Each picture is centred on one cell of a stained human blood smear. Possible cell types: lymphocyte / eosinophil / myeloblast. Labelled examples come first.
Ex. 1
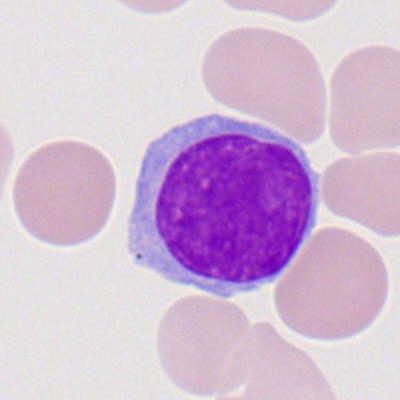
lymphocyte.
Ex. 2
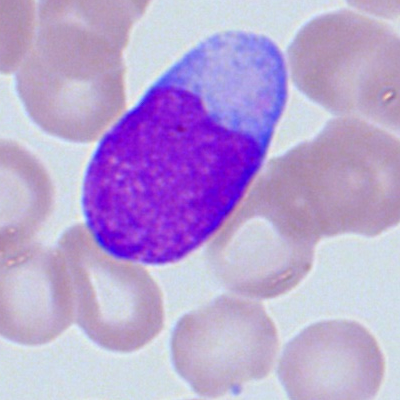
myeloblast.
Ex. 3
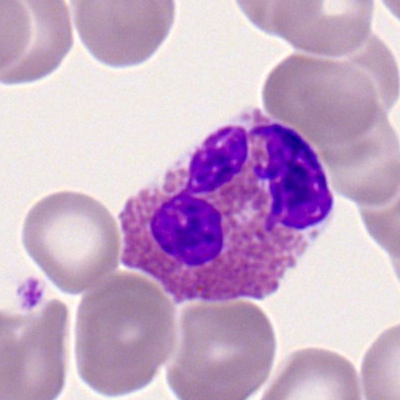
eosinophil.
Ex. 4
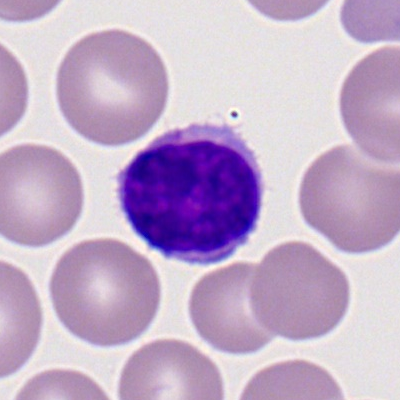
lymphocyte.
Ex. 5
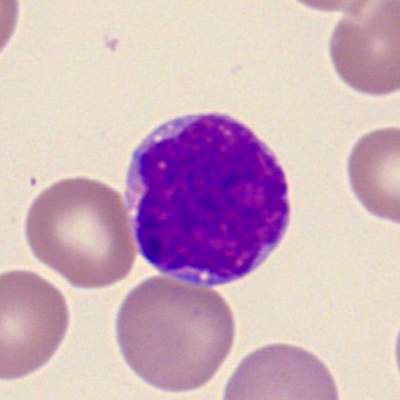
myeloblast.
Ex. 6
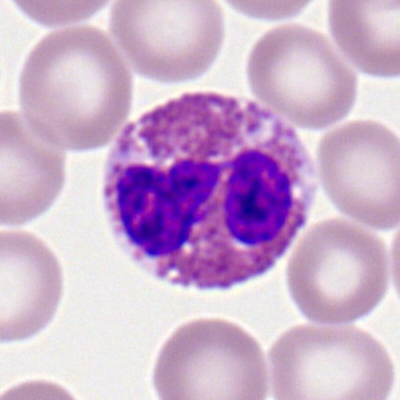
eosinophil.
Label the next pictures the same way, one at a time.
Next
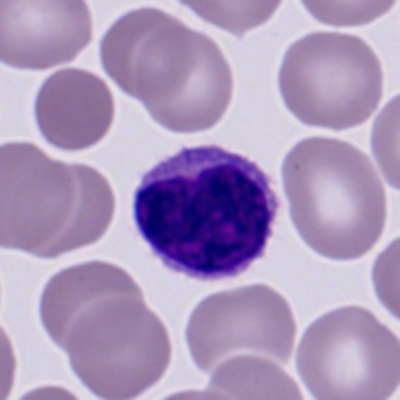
lymphocyte.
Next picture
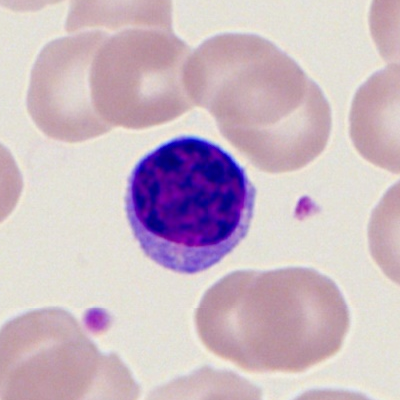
lymphocyte.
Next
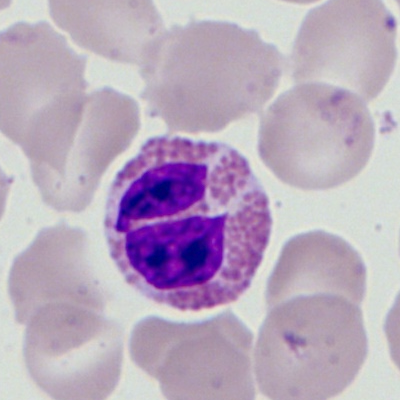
eosinophil.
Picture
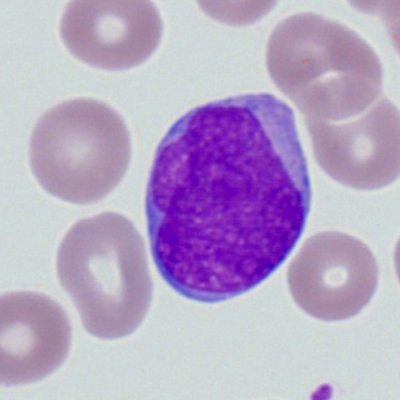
myeloblast.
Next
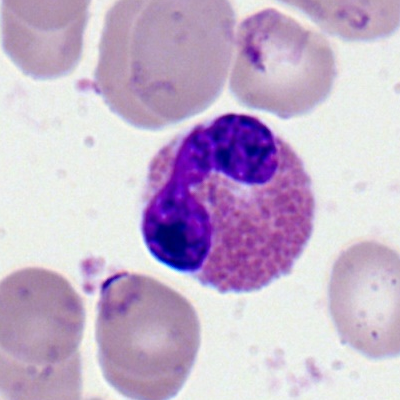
eosinophil.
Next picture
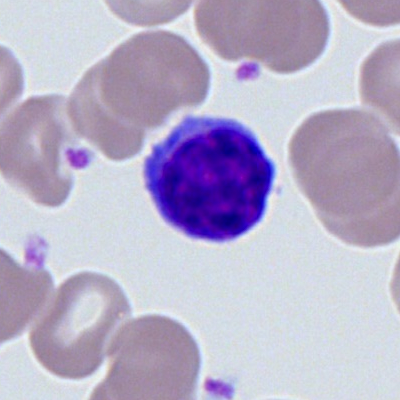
lymphocyte.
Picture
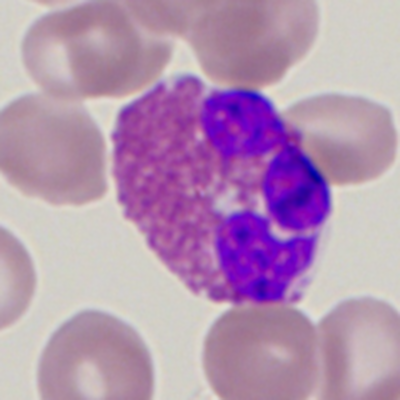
eosinophil.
